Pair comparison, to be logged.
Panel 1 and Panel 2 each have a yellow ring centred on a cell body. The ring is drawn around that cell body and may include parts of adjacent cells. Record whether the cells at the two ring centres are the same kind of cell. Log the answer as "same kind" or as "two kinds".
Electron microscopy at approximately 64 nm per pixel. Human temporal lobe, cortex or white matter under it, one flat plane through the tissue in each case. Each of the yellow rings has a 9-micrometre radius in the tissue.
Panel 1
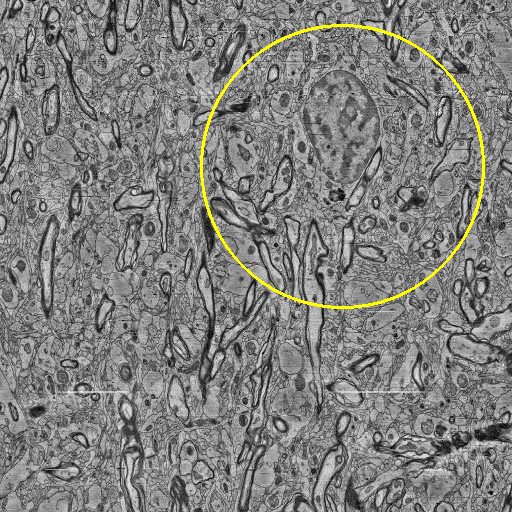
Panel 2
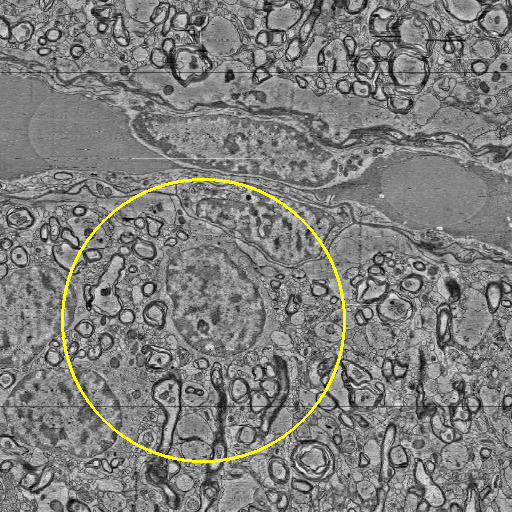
two kinds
